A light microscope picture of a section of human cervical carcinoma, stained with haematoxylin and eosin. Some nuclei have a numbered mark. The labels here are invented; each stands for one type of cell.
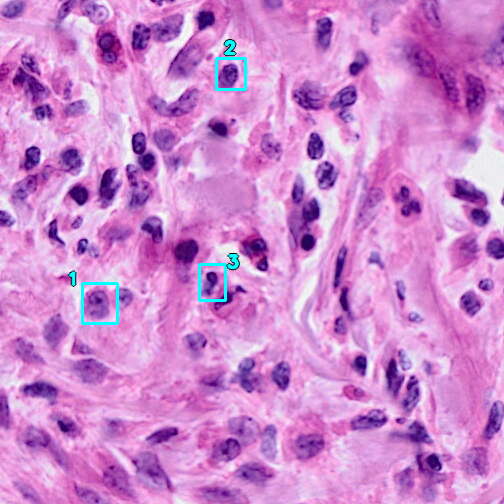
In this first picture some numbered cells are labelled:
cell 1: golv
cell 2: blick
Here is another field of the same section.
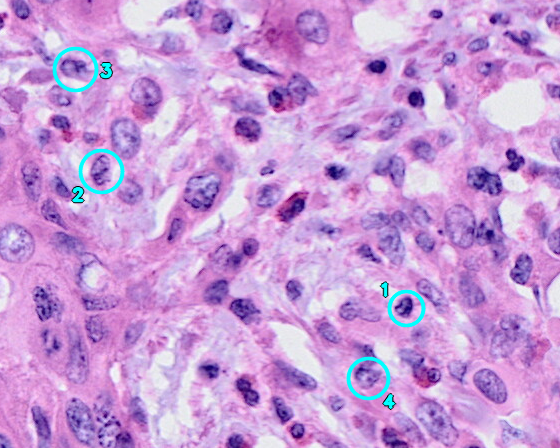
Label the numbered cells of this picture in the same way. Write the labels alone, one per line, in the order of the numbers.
blick
golv
golv
golv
